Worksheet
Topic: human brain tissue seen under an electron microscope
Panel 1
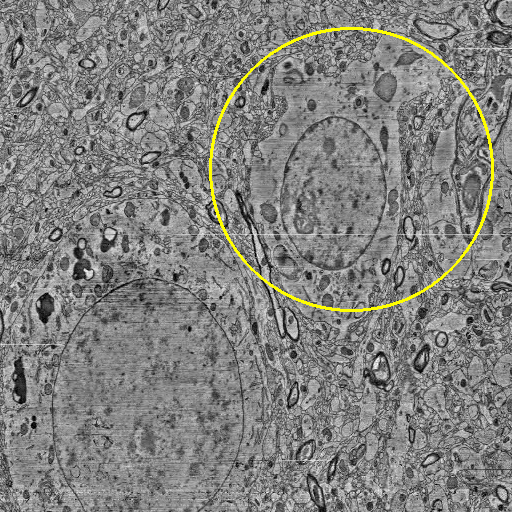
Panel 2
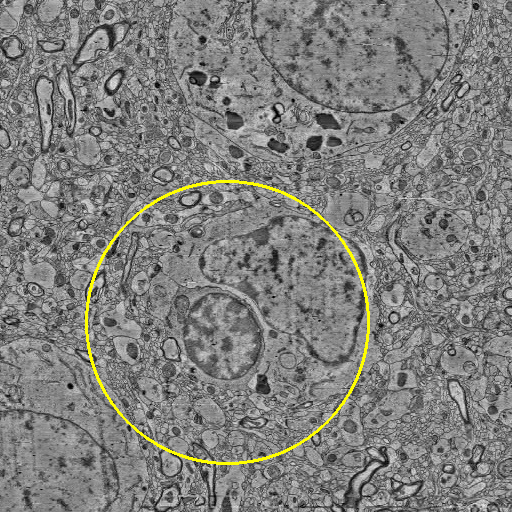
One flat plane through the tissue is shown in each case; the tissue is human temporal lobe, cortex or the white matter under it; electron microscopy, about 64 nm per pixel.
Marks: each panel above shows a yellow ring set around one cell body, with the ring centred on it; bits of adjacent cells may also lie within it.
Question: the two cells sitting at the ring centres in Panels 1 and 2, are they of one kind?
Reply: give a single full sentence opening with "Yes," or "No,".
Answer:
No, the two ring-centre cells in Panel 1 and Panel 2 are of two kinds.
